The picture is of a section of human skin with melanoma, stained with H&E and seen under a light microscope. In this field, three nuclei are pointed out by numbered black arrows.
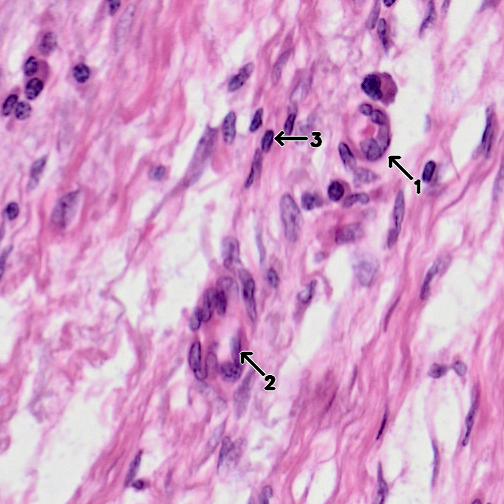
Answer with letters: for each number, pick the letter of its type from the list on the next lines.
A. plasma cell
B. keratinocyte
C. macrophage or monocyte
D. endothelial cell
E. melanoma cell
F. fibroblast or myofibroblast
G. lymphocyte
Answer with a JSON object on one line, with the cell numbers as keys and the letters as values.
{"1": "D", "2": "D", "3": "G"}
